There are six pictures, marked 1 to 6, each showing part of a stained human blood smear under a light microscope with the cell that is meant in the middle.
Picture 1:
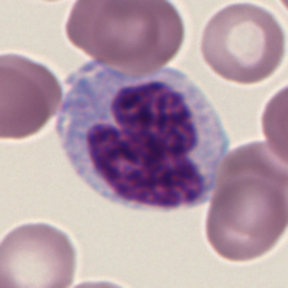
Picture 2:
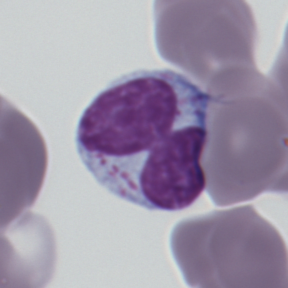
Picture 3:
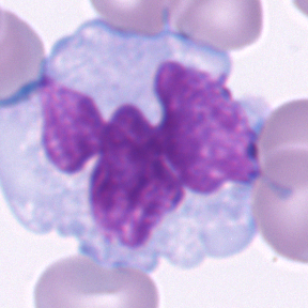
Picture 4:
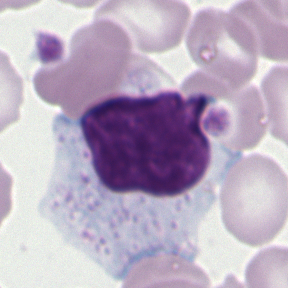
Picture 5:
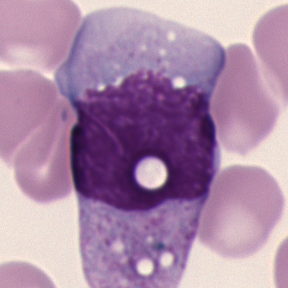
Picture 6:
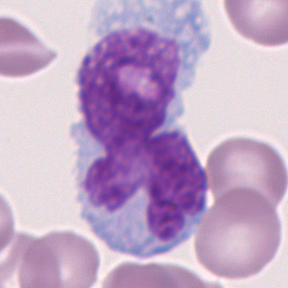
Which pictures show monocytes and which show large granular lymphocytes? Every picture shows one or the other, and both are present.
1: monocyte
2: large granular lymphocyte
3: monocyte
4: large granular lymphocyte
5: monocyte
6: monocyte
